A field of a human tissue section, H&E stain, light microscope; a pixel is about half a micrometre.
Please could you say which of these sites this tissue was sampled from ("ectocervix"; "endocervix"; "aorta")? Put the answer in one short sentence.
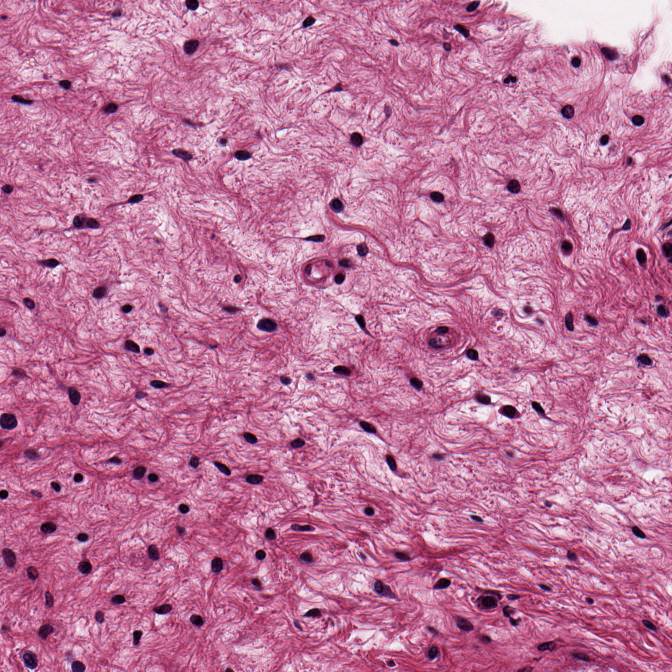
The site this tissue was sampled from is the endocervix.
